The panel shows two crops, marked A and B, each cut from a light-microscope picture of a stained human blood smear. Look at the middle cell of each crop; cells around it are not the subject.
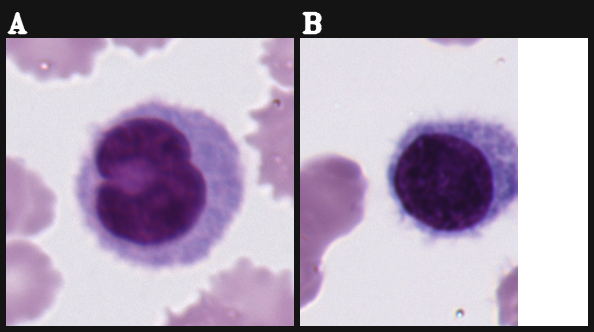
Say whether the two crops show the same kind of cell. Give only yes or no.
yes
